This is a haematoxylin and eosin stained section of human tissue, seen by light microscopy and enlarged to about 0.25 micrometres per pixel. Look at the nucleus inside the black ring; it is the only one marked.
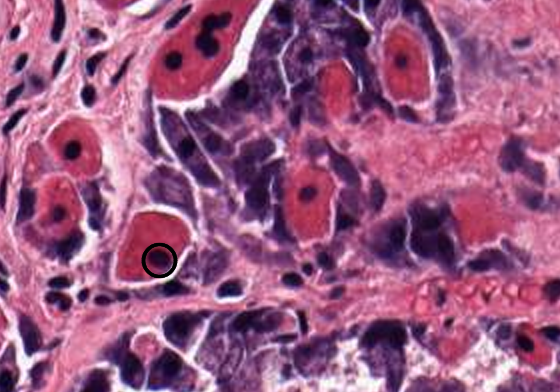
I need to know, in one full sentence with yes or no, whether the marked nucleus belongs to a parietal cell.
Yes, the marked nucleus lies within a parietal cell.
